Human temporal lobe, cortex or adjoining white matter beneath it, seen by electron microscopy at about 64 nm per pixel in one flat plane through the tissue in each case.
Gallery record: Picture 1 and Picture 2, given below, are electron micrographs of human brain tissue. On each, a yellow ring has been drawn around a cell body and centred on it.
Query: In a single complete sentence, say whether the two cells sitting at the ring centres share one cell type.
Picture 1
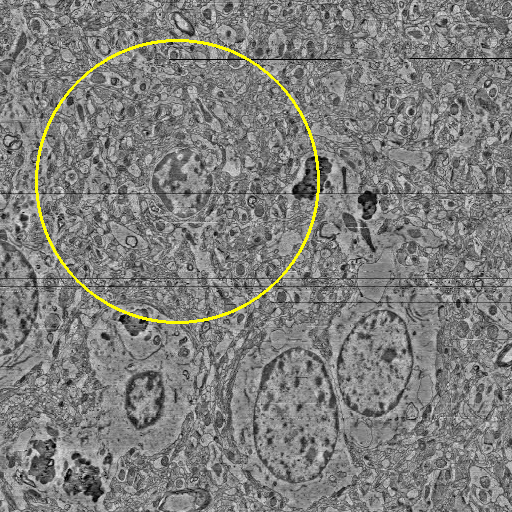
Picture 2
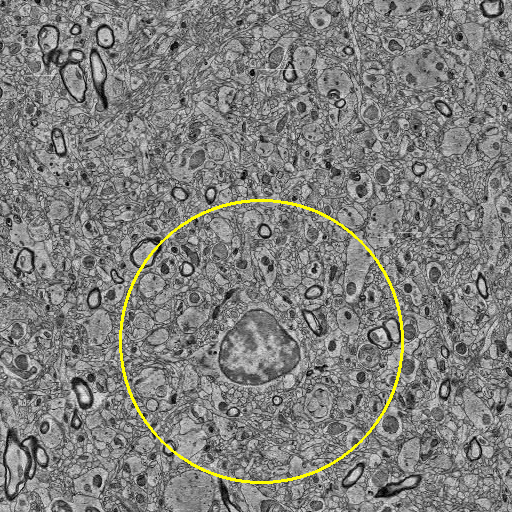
Yes, in both pictures the cell at the ring's centre is of one and the same type.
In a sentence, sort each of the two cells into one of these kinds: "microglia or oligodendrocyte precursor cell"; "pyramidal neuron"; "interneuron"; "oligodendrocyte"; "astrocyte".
Each cell, in the first picture and the second, is a microglial cell or oligodendrocyte precursor cell.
